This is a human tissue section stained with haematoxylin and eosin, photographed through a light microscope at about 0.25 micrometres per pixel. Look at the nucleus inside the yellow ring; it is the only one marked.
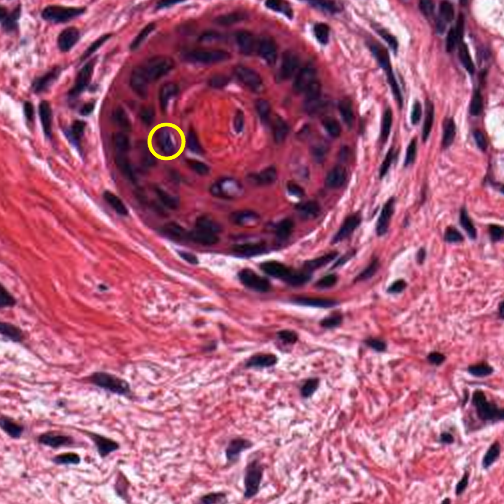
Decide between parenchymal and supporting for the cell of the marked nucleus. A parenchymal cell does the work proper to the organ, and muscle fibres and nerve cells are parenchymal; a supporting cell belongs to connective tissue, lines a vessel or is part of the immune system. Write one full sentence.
What the marked nucleus belongs to is a parenchymal cell, namely a keratinocyte.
